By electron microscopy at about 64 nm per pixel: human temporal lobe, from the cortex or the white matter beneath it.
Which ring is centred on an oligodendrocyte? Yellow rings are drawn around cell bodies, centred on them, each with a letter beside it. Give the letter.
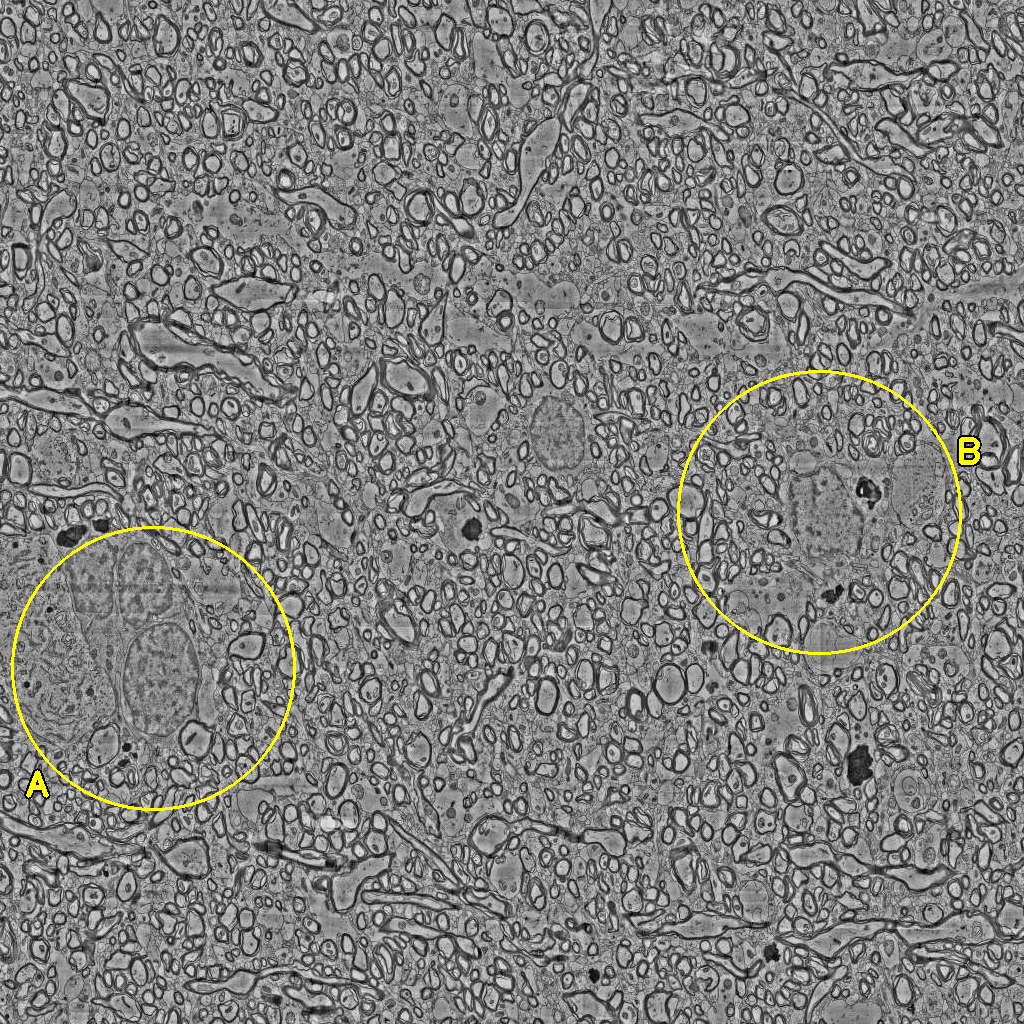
A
